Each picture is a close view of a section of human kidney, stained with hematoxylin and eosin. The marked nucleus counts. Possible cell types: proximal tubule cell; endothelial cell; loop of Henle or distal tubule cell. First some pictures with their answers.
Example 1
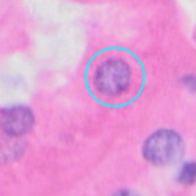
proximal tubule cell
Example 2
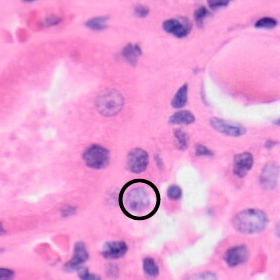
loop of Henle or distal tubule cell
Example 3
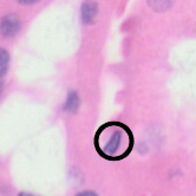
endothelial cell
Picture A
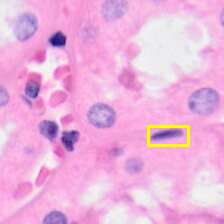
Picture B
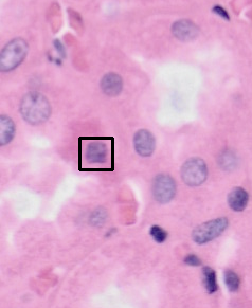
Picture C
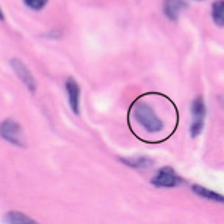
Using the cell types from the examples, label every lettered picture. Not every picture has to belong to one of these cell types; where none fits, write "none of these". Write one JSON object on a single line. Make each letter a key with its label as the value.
{"A": "endothelial cell", "B": "proximal tubule cell", "C": "endothelial cell"}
